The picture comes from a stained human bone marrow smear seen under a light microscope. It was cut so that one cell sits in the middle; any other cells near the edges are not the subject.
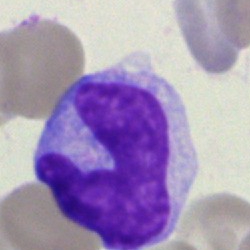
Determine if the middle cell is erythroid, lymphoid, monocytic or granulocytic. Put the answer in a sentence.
The lineage represented by the central cell is monocytic.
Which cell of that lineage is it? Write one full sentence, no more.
In this crop, the cell at the very middle is a monocyte.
